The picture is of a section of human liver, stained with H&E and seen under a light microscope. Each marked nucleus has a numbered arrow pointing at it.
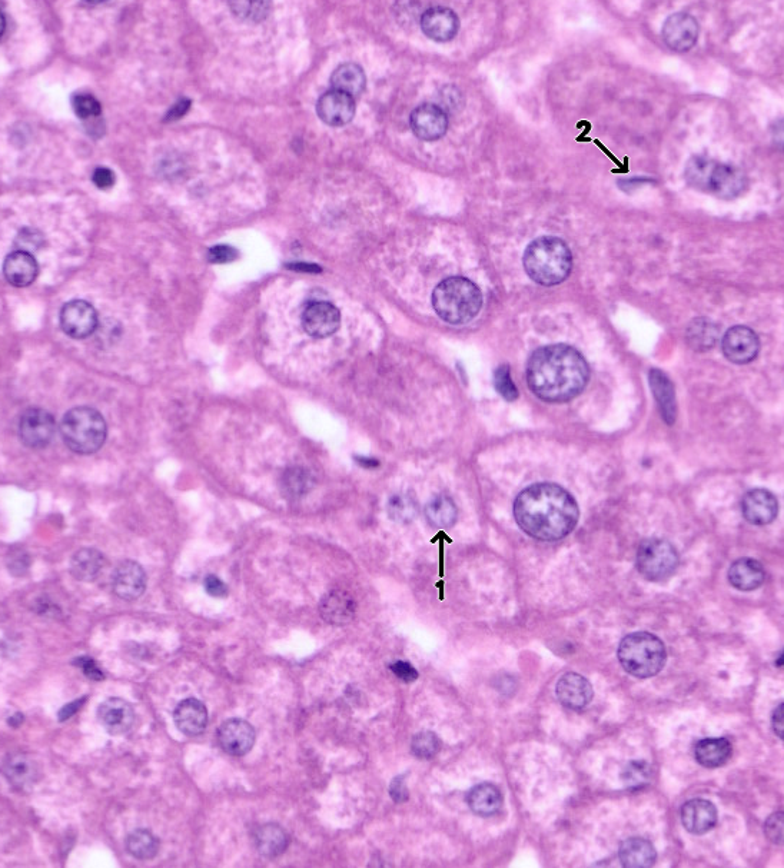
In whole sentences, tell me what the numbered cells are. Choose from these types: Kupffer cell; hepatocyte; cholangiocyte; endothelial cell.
Cell 1 is a hepatocyte and cell 2 is an endothelial cell.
